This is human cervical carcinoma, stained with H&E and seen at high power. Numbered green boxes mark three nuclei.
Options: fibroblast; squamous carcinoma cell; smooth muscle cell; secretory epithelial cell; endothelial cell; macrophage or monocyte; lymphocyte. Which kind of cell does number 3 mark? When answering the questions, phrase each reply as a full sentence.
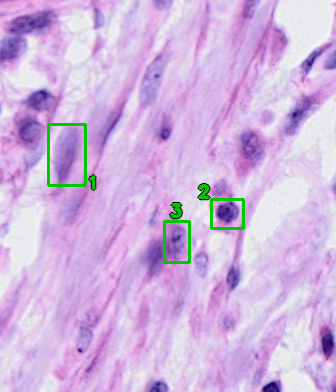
The cell referenced by the number 3 is an endothelial cell in this field.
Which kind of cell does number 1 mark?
In this section, the cell numbered 1 is a fibroblast.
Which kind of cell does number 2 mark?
Cell number 2 in this section is a lymphocyte.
